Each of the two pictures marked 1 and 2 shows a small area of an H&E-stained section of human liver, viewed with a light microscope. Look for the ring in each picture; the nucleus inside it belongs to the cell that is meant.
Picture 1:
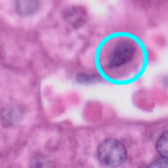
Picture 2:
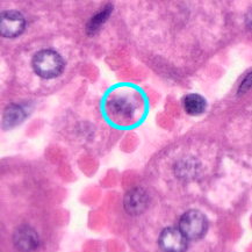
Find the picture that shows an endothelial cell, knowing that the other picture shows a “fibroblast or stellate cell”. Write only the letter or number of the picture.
2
